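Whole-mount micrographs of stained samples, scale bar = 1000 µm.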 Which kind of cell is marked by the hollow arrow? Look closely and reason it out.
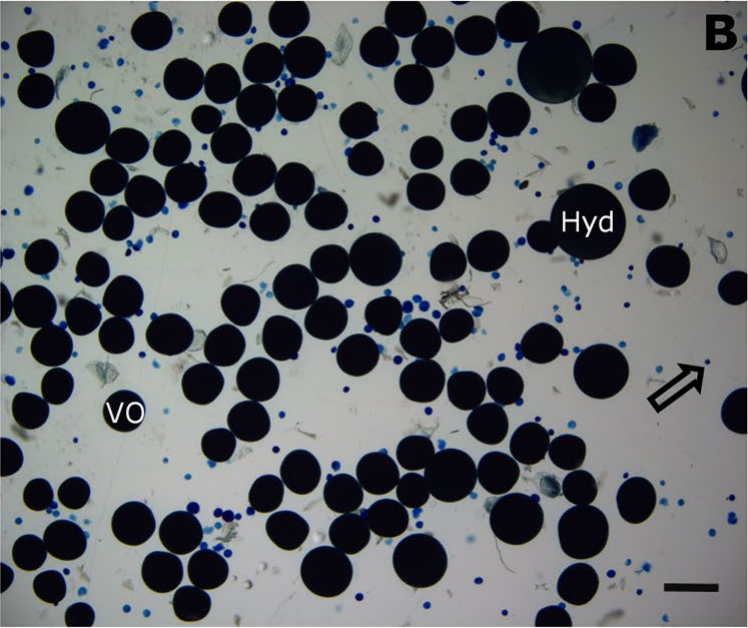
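The hollow arrow points at a very small round dark-blue body. It is far smaller than the large opaque black spheres that fill most of the field.
Previtellogenic oocyte.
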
